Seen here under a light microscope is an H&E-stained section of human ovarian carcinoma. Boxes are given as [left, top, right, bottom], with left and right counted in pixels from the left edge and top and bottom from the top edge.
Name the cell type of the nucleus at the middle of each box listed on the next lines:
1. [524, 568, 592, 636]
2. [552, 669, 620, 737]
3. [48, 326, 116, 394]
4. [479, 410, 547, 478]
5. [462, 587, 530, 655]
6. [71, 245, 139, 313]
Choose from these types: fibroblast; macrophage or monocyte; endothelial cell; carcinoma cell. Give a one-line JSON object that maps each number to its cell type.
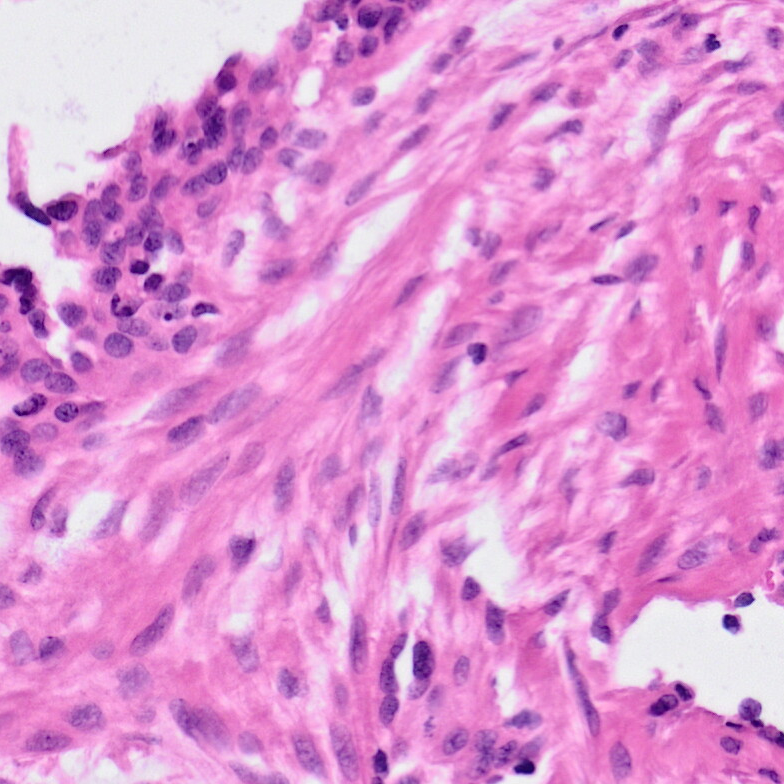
{"1": "fibroblast", "2": "fibroblast", "3": "carcinoma cell", "4": "fibroblast", "5": "fibroblast", "6": "carcinoma cell"}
